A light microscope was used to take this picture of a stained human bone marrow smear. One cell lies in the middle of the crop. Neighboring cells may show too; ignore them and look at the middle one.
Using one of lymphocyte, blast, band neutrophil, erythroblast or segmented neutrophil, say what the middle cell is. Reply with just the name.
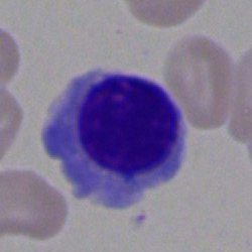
erythroblast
